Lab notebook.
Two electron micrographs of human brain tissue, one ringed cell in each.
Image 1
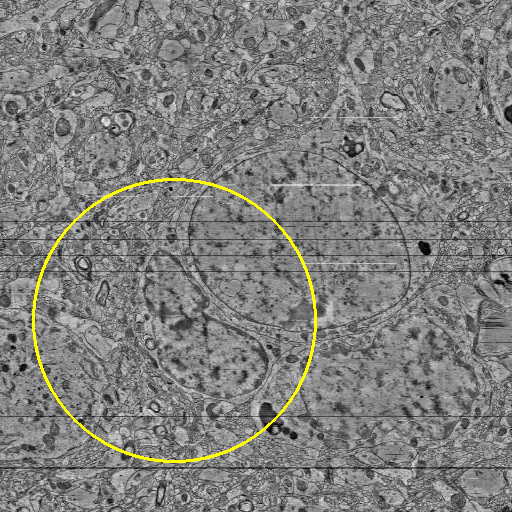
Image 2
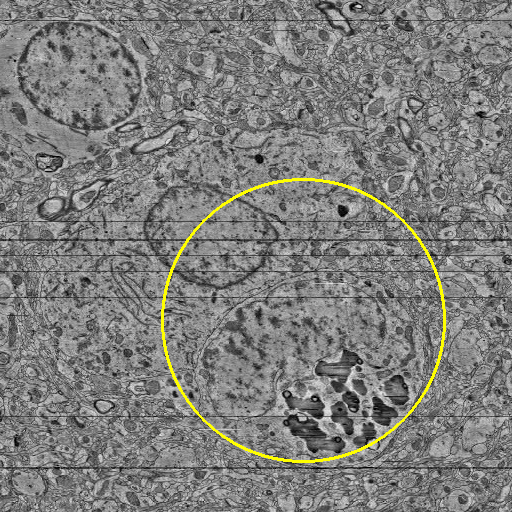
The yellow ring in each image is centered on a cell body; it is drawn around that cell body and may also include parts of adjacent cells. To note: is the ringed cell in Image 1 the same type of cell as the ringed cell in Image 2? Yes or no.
no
